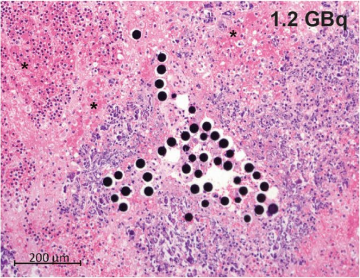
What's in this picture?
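This is liver tissue stained pink and purple, with a portal tract in the centre densely packed with uniform round black microspheres. The spheres sit in a cellular region crowded with purple nuclei, while broad areas around it are pale pink, structureless necrotic tissue with scattered dark nuclear debris.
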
